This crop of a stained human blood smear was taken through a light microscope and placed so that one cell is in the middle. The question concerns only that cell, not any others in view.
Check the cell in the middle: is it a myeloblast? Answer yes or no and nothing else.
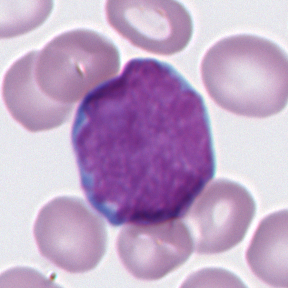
yes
